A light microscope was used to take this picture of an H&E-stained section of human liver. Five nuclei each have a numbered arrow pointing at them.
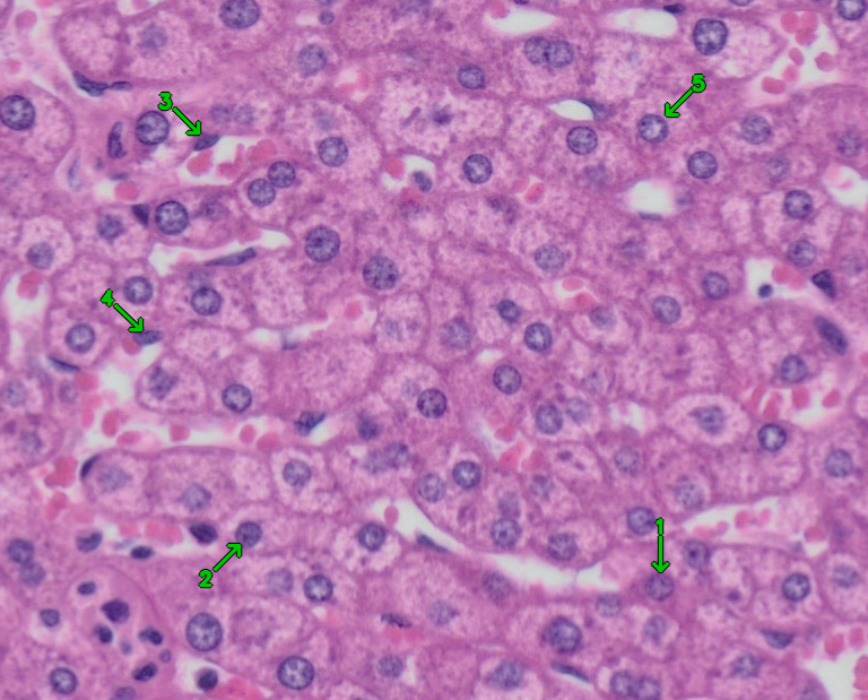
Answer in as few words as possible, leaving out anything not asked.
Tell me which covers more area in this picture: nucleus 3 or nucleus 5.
5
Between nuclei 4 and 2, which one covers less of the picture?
4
